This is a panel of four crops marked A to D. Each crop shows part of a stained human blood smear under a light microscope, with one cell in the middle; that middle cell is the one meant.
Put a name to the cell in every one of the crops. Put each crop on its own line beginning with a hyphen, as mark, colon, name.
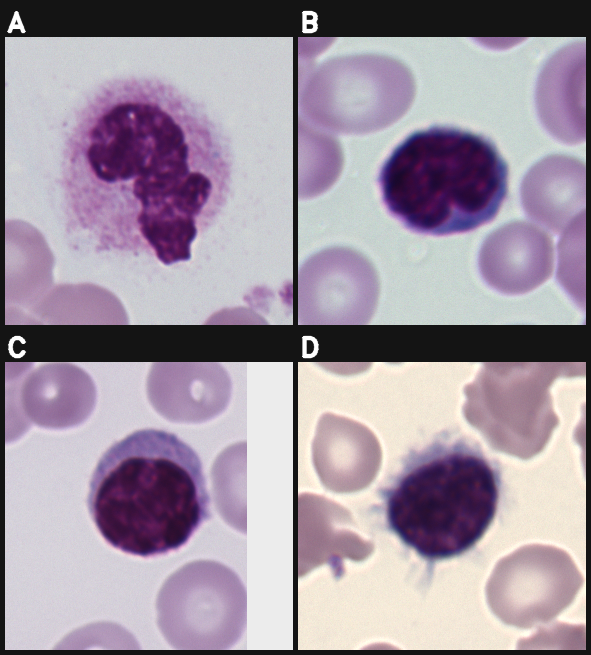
- A: segmented neutrophil
- B: typical lymphocyte
- C: typical lymphocyte
- D: hairy cell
